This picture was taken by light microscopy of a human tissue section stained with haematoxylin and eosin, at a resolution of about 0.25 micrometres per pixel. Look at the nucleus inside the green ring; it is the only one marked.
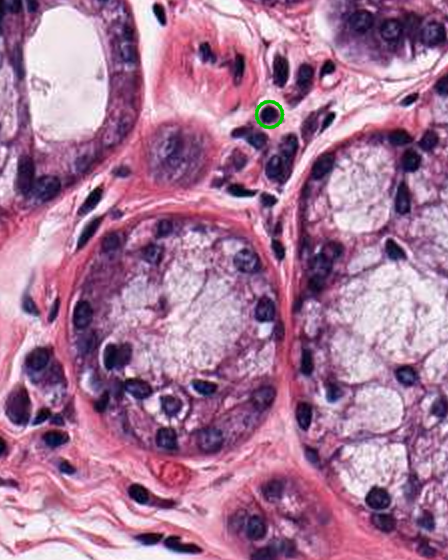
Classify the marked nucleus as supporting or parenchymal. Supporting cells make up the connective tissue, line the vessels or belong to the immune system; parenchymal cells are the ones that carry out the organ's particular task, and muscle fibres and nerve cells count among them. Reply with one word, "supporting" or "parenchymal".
supporting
